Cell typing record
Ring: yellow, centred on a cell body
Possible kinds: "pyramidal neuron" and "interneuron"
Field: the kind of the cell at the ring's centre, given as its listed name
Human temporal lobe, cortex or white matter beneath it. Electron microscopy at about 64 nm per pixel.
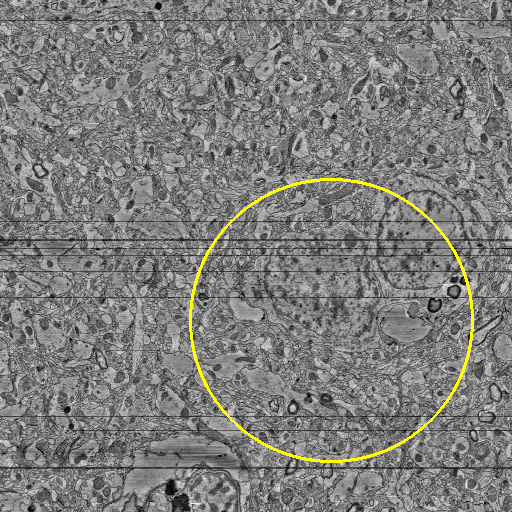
interneuron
